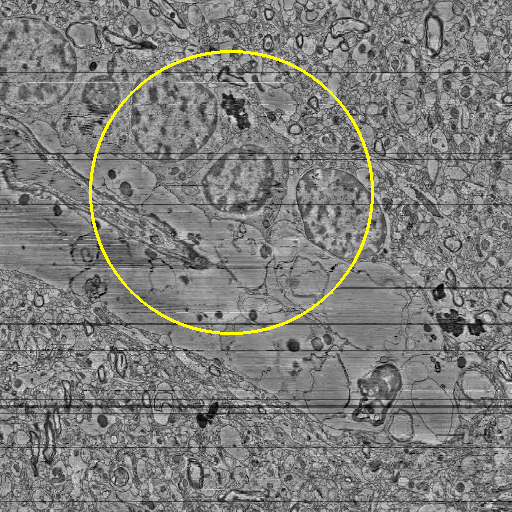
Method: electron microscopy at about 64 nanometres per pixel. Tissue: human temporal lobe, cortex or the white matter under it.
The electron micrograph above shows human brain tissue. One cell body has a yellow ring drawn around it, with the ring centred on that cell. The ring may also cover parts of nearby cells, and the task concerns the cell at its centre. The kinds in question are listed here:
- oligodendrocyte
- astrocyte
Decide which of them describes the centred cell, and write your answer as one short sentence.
The centred cell is an oligodendrocyte.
